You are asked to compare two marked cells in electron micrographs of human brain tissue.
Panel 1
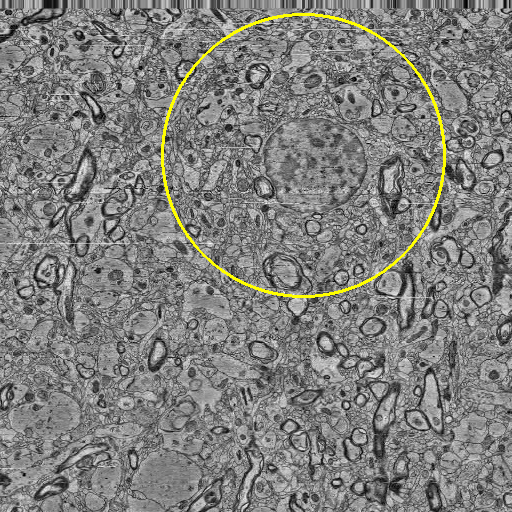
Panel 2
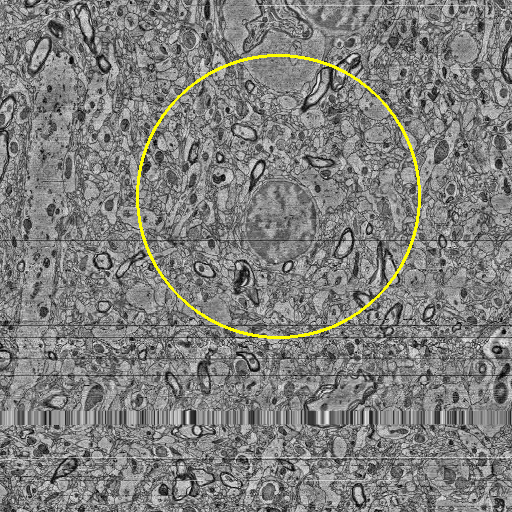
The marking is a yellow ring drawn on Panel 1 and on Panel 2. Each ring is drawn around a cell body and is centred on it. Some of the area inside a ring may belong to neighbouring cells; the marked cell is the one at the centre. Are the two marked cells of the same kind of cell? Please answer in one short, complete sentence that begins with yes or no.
Yes, the two marked cells are of the same kind.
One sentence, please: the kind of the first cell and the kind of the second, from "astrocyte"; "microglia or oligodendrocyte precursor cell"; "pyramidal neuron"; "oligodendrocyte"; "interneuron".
In each picture the ringed cell is an oligodendrocyte.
